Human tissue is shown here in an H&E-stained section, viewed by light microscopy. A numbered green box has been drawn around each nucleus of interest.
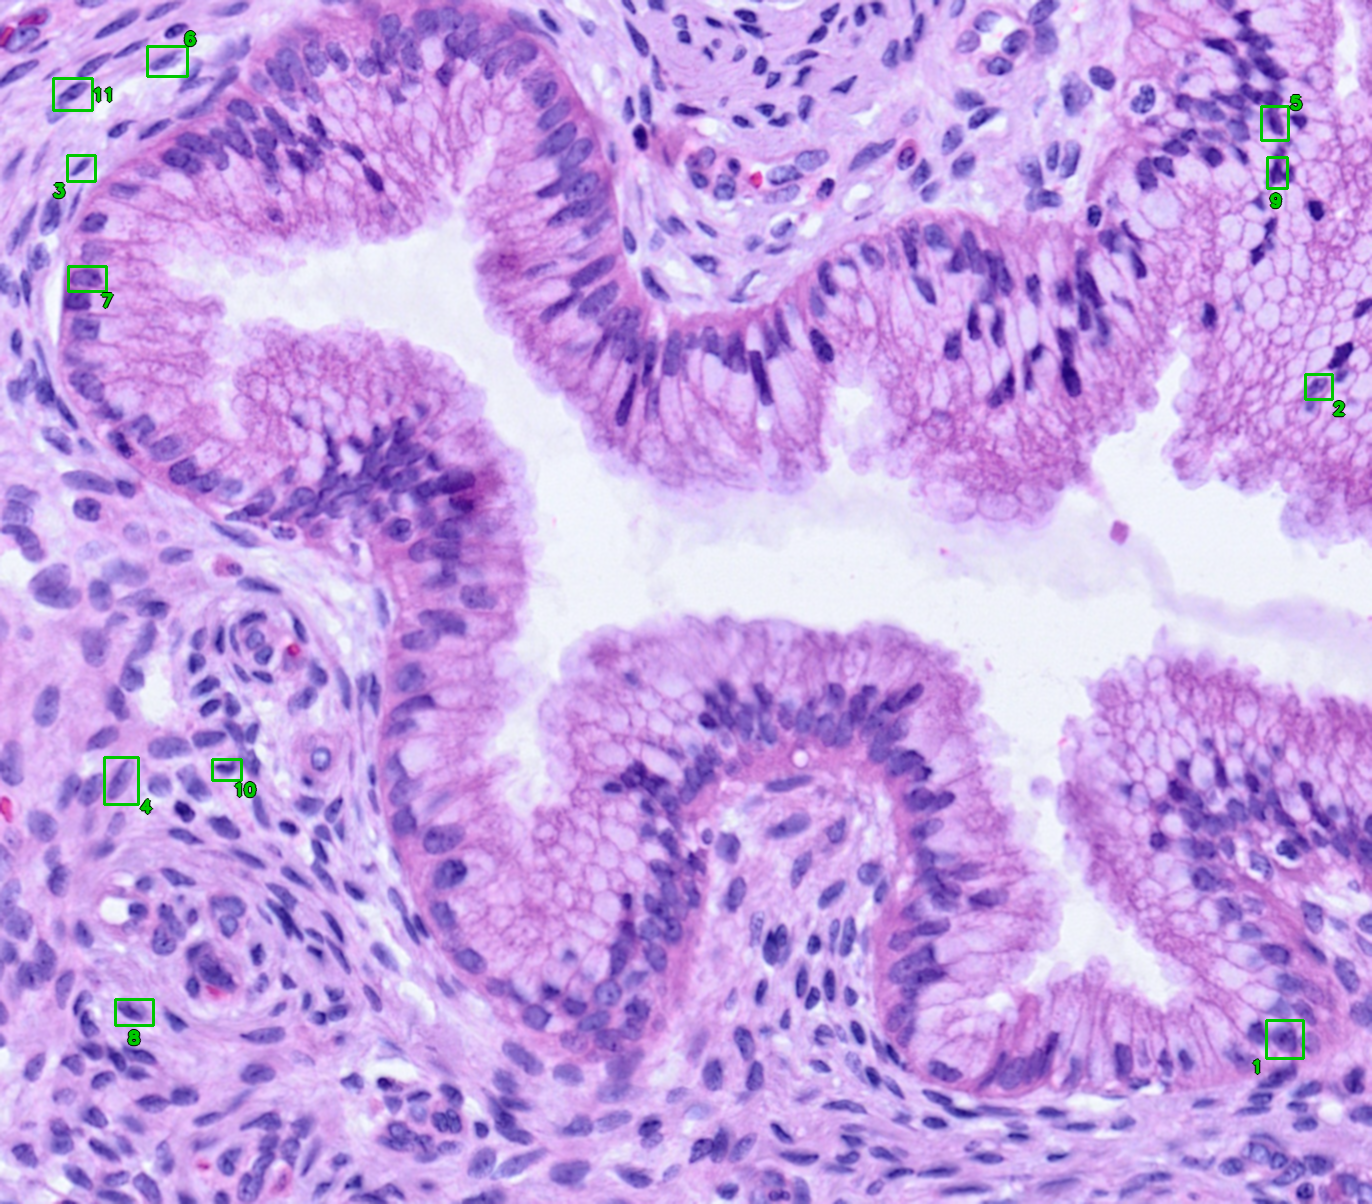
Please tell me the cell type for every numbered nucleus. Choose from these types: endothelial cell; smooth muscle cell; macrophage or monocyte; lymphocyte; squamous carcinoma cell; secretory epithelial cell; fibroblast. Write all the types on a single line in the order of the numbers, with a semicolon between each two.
secretory epithelial cell; secretory epithelial cell; fibroblast; fibroblast; secretory epithelial cell; fibroblast; secretory epithelial cell; fibroblast; secretory epithelial cell; fibroblast; fibroblast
